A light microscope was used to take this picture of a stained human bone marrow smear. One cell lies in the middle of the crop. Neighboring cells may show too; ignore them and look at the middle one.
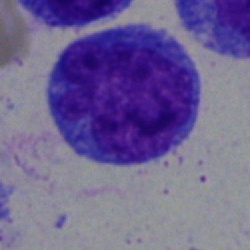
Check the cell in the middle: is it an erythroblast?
no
